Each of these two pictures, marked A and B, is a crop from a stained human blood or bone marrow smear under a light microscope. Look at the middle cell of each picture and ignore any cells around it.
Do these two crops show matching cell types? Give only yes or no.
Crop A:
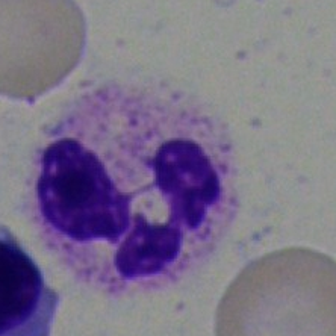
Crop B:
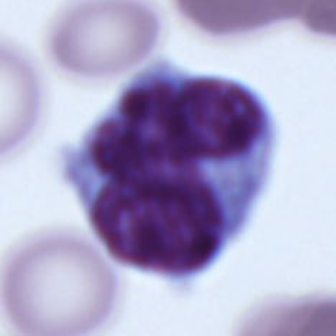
no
